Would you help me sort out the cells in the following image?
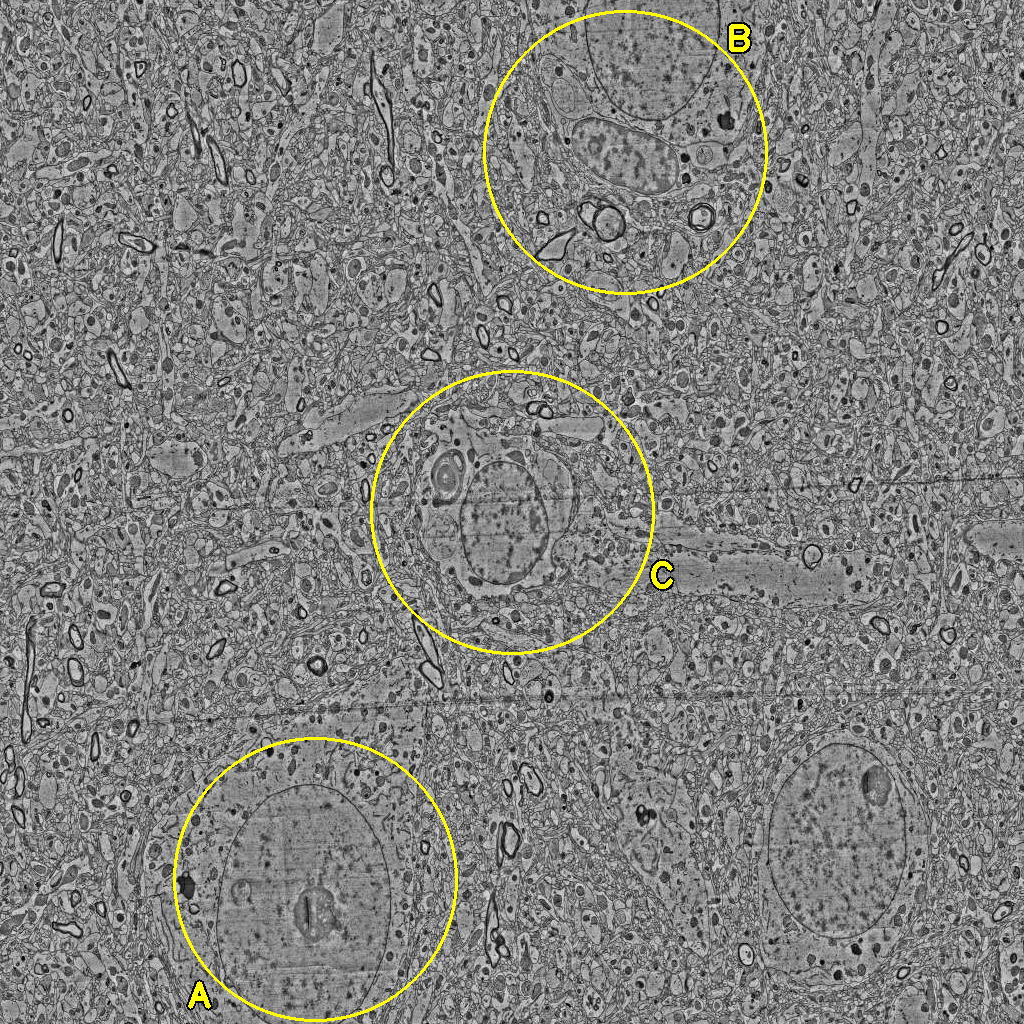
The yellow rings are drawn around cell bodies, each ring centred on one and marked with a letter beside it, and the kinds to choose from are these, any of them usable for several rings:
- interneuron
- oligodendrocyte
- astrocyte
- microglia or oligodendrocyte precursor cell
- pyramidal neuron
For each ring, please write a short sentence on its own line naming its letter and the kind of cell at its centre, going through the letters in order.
Ring A is centred on the cell body of a pyramidal neuron.
Ring B is centred on the cell body of a microglial cell or oligodendrocyte precursor cell.
Ring C is centred on the cell body of an astrocyte.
